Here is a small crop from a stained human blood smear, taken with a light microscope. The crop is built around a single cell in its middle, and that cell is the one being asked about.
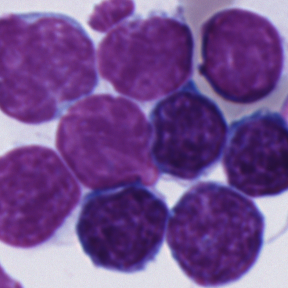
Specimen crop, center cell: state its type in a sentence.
The single cell at the center of the crop is a myeloblast.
